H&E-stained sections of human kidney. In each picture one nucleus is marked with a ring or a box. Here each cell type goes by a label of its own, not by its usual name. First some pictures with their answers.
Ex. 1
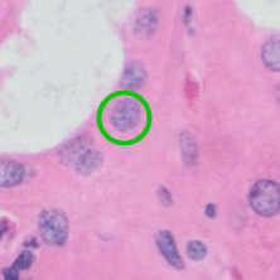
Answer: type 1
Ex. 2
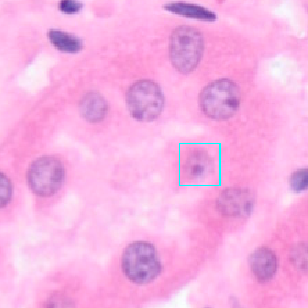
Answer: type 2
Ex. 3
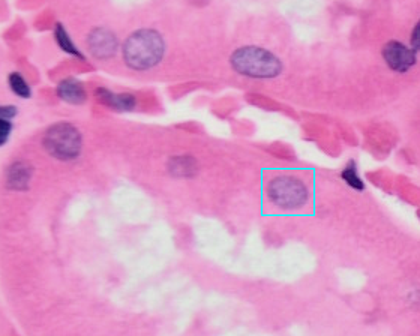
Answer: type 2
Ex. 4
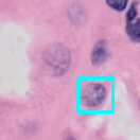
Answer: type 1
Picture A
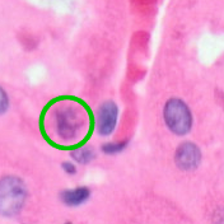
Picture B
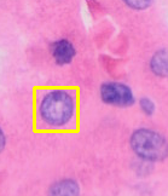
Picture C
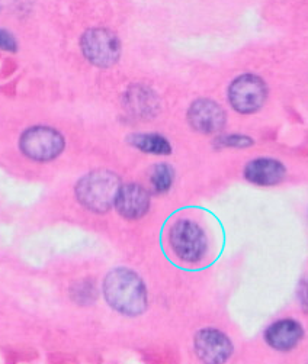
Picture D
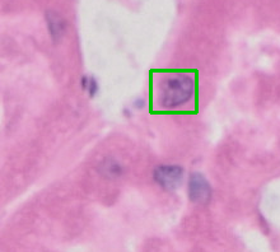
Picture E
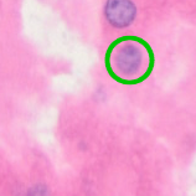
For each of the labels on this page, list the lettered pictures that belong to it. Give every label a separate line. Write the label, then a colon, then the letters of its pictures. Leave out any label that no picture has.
type 1: C
type 2: A, B, D, E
